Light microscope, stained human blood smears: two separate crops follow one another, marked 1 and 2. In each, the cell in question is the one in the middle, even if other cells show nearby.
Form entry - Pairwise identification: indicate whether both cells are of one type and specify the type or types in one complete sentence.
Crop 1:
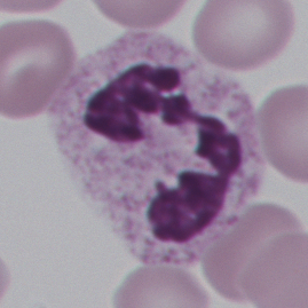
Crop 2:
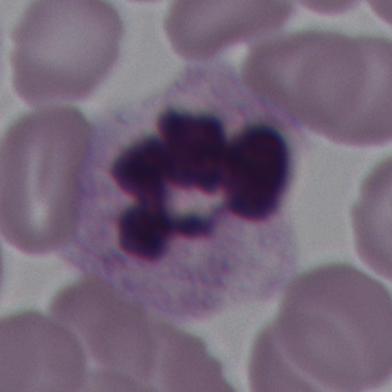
Yes, both crops depict segmented neutrophils at the centre.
